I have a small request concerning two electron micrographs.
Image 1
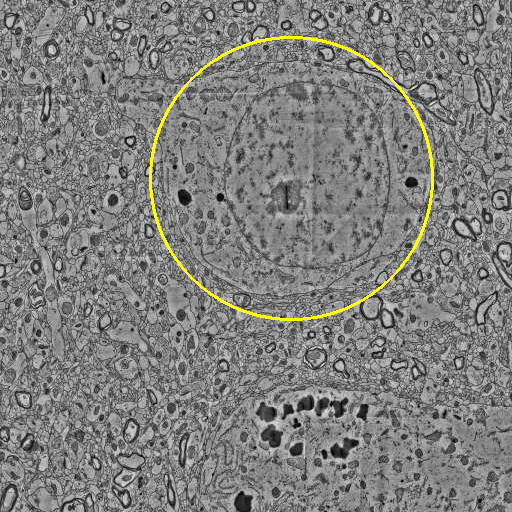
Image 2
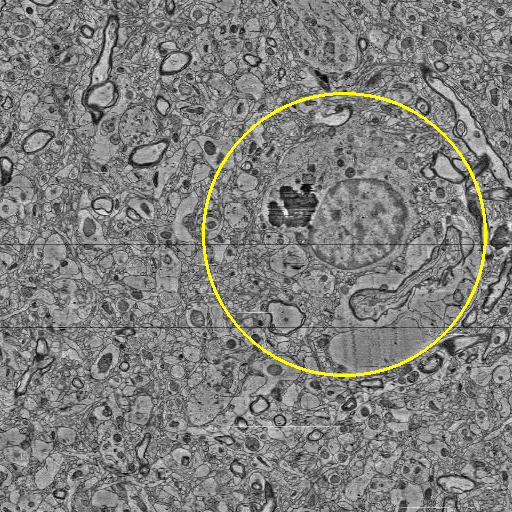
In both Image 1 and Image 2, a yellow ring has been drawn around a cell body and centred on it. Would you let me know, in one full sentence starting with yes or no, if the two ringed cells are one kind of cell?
No, the cells ringed in Image 1 and Image 2 are two kinds of cell.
